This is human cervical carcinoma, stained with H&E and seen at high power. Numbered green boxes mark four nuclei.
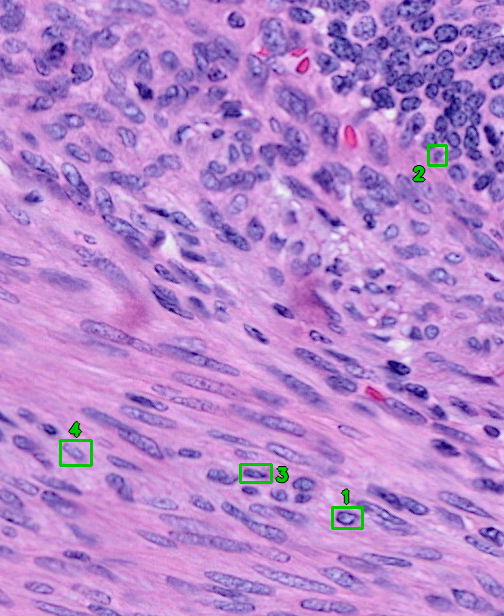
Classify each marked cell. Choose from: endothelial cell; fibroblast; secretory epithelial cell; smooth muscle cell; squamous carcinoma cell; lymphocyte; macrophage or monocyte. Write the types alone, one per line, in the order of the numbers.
smooth muscle cell
squamous carcinoma cell
smooth muscle cell
smooth muscle cell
